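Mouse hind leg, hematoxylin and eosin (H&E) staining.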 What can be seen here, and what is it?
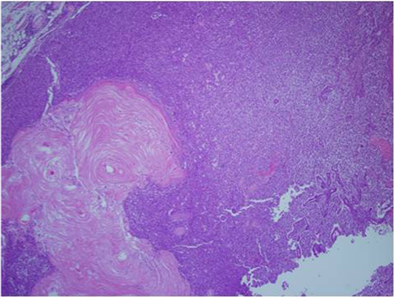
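At lower left lies a large pale pink area of acellular, concentrically layered lamellae, consistent with squamous hyperkeratosis. The densely cellular tissue surrounds and abuts this keratin-like material. Individual cell shapes are hard to resolve at this magnification.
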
